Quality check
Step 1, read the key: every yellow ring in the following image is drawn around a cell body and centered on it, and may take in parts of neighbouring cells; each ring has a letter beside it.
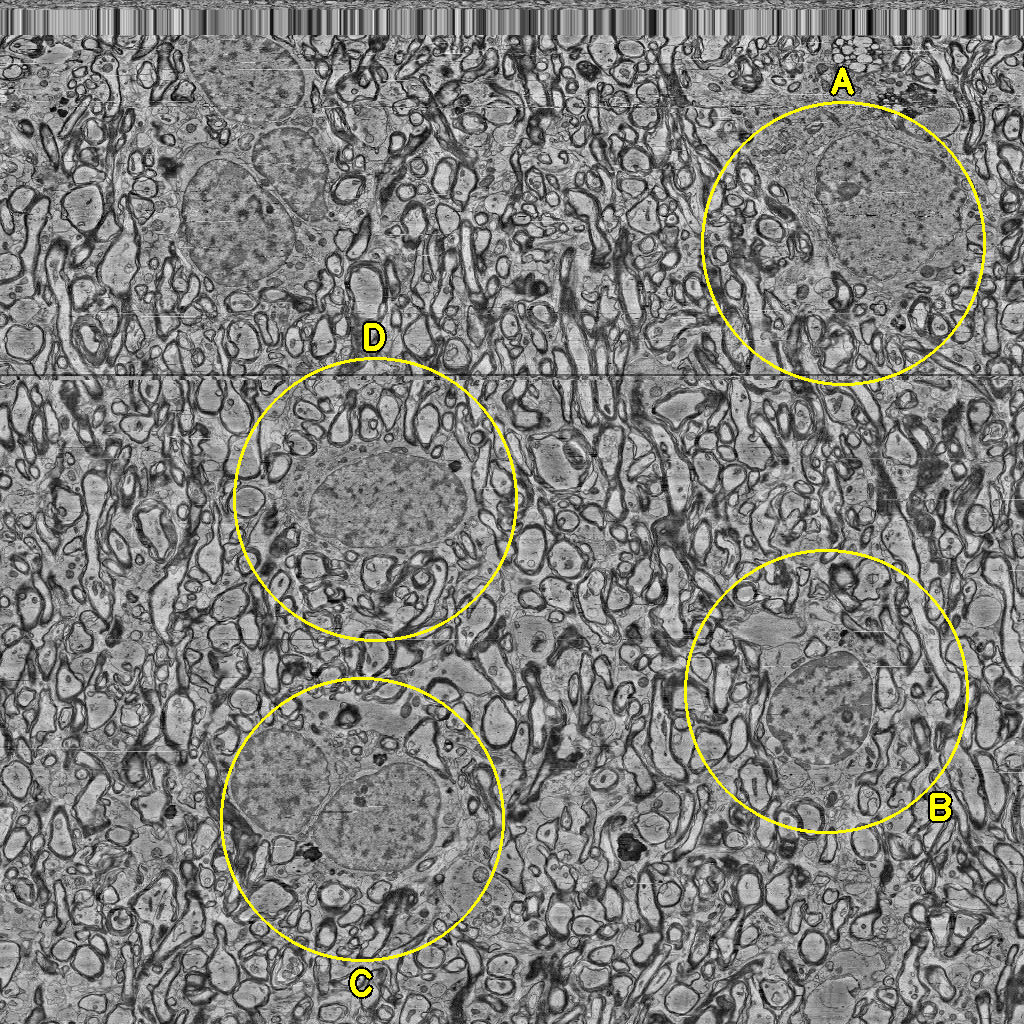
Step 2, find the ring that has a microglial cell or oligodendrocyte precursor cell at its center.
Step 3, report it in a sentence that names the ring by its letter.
Ring B is centered on that cell.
